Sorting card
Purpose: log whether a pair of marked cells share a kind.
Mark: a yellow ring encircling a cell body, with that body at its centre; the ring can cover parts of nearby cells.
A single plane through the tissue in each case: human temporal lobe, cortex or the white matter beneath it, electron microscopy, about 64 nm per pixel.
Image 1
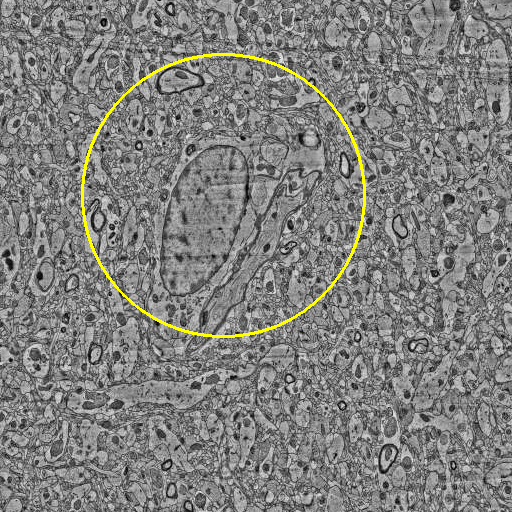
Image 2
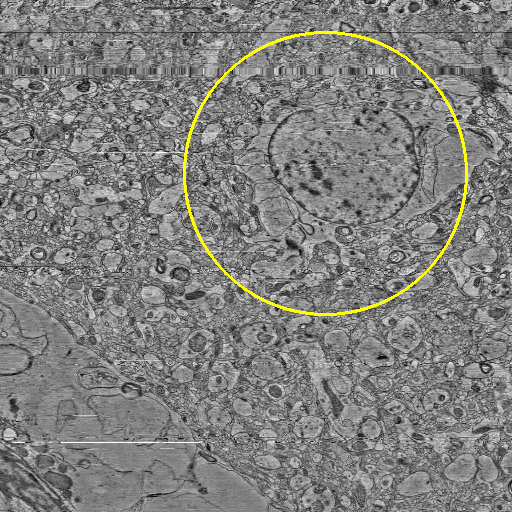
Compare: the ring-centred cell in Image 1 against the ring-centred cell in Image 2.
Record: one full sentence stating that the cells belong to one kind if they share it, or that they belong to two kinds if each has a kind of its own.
Across Images 1 and 2, the two ring-centred cells belong to two kinds.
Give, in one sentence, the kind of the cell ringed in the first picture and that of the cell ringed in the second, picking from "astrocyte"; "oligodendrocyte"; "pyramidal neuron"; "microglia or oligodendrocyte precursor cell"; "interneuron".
For the first picture it is a microglial cell or oligodendrocyte precursor cell; for the second, an astrocyte.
